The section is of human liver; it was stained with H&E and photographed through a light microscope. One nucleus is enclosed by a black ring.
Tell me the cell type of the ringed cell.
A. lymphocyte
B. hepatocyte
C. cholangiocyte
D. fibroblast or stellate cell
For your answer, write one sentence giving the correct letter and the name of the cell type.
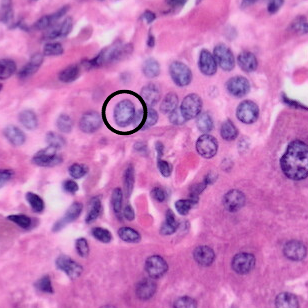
Under option C, the ringed cell is listed as a cholangiocyte, which is correct.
